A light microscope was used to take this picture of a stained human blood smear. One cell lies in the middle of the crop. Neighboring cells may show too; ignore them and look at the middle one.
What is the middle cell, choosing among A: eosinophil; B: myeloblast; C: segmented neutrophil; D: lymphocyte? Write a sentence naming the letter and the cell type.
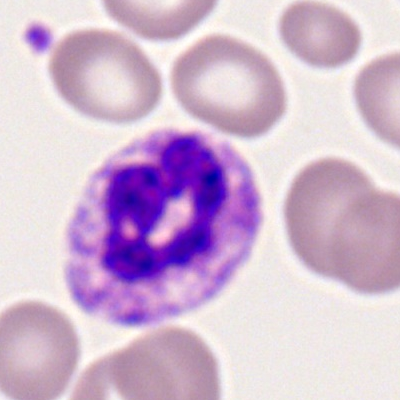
Option C gets it right: the cell in the middle is a segmented neutrophil.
